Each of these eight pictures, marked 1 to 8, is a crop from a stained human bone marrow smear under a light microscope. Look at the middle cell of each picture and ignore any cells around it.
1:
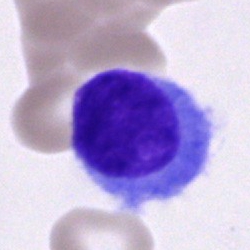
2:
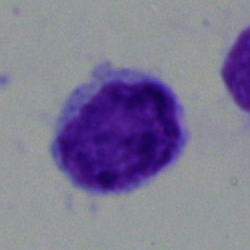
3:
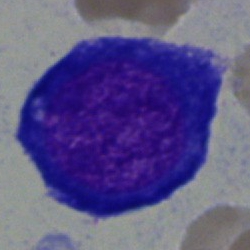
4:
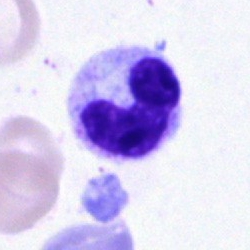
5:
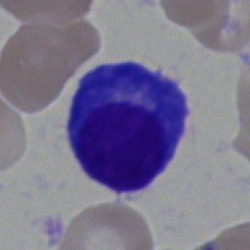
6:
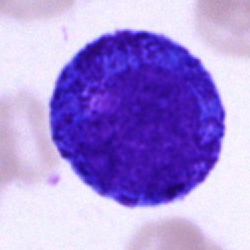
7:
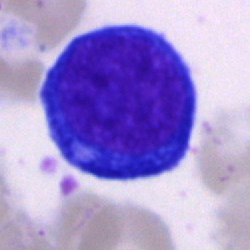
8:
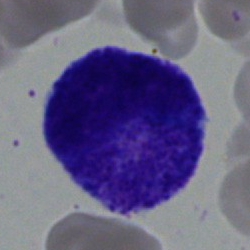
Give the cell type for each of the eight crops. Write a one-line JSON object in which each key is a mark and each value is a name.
{"1": "hairy cell", "2": "hairy cell", "3": "proerythroblast", "4": "band neutrophil", "5": "plasma cell", "6": "promyelocyte", "7": "proerythroblast", "8": "promyelocyte"}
